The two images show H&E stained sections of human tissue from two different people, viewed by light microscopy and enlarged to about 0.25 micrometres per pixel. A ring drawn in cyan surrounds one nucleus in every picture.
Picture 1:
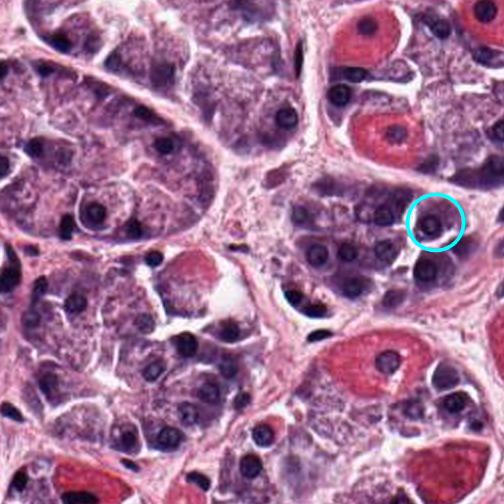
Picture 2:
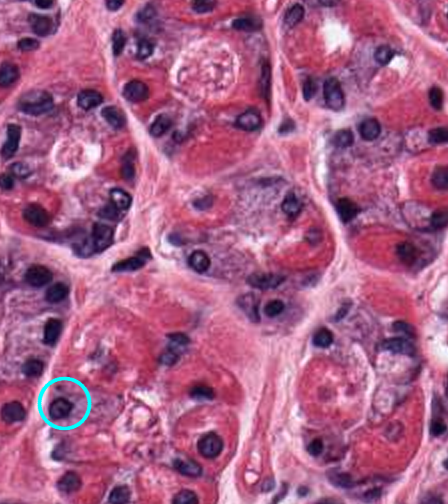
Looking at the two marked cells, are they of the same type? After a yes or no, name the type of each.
Yes, both are chief cells.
